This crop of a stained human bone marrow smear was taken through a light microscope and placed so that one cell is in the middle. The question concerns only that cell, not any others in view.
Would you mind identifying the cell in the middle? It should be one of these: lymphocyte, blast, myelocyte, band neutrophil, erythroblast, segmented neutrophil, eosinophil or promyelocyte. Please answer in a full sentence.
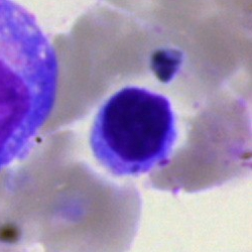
What sits at the centre of this crop is a lymphocyte.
